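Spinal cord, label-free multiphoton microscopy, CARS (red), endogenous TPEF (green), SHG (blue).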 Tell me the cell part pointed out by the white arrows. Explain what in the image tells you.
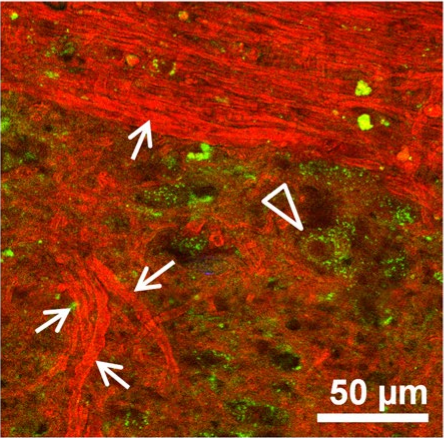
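The arrows point to long, thin, parallel red fibres. The fibres run in bundles, some curving through the field. That points to this answer: myelinated axons.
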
